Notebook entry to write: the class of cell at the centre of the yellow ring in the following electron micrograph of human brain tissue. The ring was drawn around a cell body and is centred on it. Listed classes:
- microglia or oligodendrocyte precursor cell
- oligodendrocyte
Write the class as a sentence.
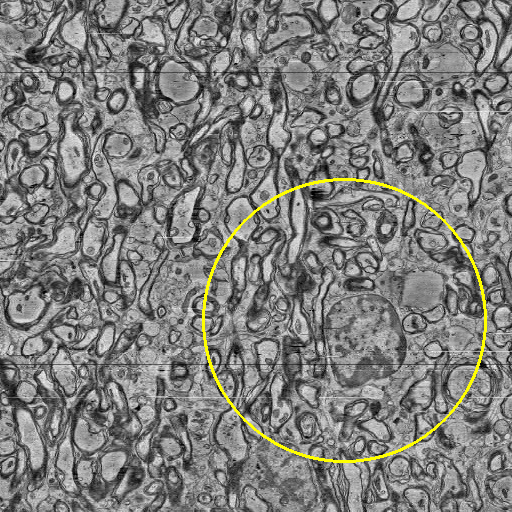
The yellow ring sits on a microglial cell or oligodendrocyte precursor cell.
